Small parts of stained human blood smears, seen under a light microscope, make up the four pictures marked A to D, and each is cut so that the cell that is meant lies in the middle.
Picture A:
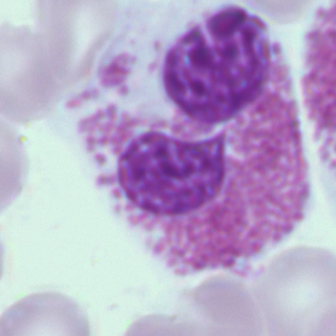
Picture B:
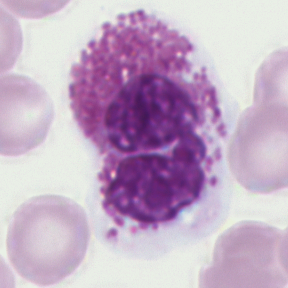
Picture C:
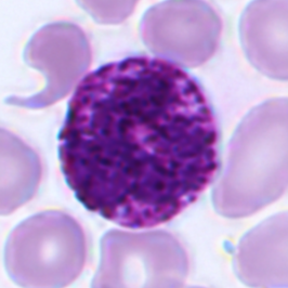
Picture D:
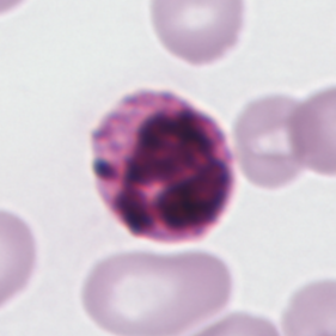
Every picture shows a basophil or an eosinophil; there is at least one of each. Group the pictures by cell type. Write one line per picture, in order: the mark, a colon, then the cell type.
A: eosinophil
B: eosinophil
C: basophil
D: basophil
